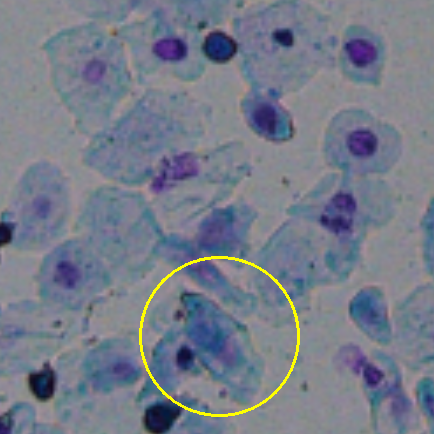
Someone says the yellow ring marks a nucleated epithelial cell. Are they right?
They are not: the ring marks a cornified epithelial cell.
